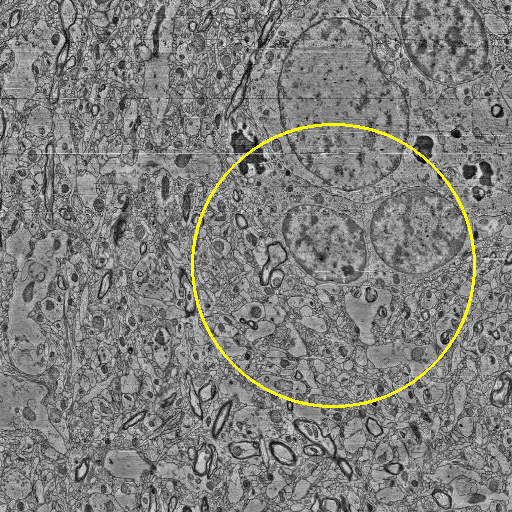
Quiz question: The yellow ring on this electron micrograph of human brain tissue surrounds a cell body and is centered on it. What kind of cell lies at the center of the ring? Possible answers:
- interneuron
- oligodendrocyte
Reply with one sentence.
The ring's center lies on an oligodendrocyte.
